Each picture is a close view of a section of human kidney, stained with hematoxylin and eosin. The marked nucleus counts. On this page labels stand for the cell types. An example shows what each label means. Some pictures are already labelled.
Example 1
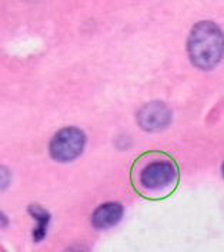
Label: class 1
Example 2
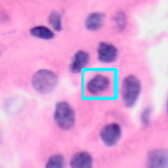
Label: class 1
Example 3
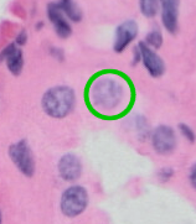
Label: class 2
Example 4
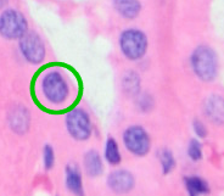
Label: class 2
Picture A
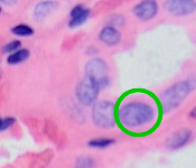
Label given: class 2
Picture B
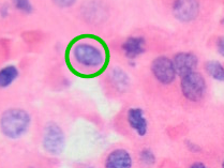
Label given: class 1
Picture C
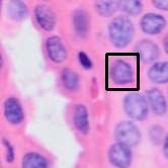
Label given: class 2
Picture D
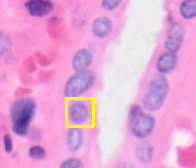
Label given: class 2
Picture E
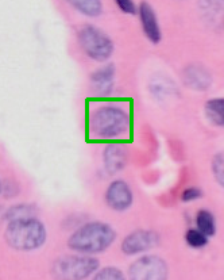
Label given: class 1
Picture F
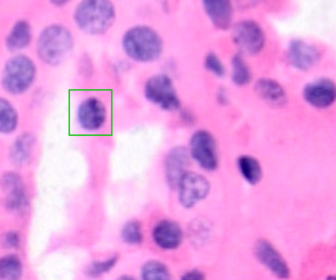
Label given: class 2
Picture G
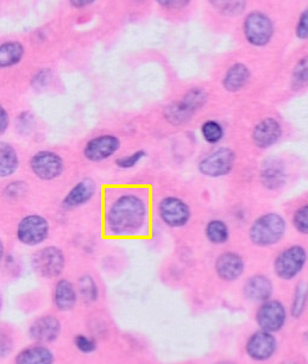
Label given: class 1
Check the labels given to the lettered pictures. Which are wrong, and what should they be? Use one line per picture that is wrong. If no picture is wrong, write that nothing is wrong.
E should be class 2, not class 1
